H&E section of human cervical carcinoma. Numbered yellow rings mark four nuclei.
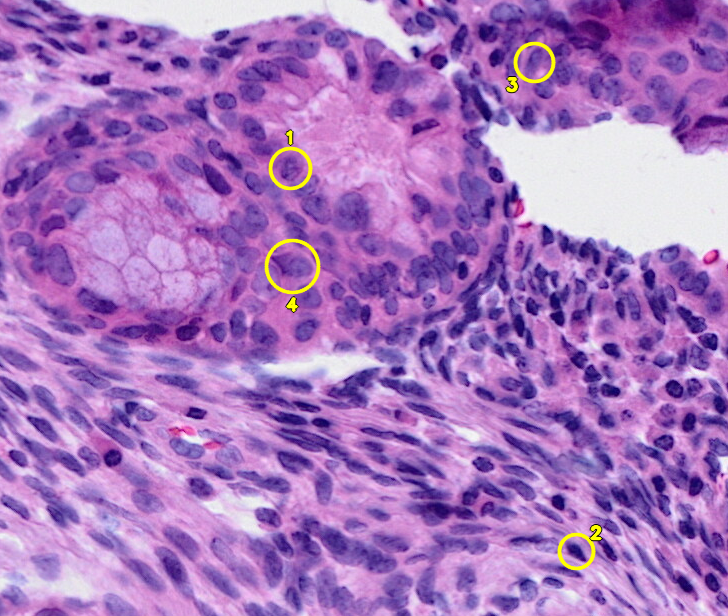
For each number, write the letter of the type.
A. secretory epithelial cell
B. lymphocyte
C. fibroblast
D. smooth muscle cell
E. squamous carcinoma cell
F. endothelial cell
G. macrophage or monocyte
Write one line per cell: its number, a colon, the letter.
1: A
2: B
3: A
4: A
